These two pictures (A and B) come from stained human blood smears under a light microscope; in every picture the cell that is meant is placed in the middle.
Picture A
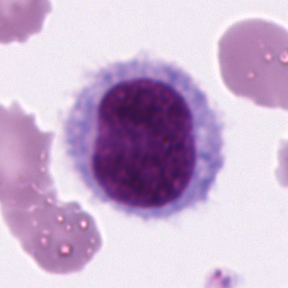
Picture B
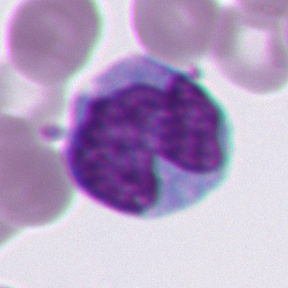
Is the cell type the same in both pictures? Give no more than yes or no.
no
